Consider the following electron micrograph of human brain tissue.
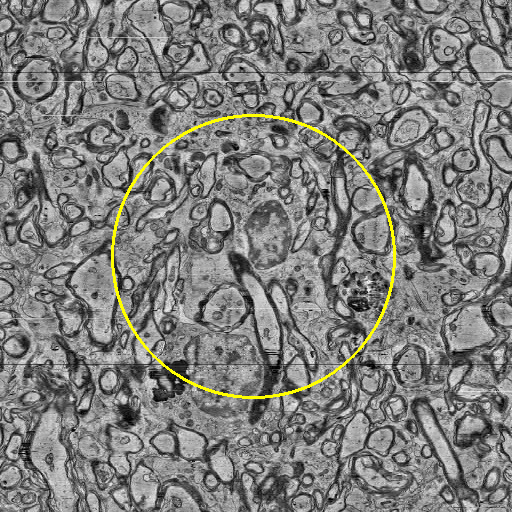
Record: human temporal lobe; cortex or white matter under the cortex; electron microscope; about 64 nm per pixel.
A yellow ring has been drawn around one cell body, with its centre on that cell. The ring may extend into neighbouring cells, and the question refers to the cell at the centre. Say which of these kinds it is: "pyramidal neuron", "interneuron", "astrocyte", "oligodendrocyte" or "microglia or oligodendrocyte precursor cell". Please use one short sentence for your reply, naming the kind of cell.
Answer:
The centre of the ring falls on a microglial cell or oligodendrocyte precursor cell.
